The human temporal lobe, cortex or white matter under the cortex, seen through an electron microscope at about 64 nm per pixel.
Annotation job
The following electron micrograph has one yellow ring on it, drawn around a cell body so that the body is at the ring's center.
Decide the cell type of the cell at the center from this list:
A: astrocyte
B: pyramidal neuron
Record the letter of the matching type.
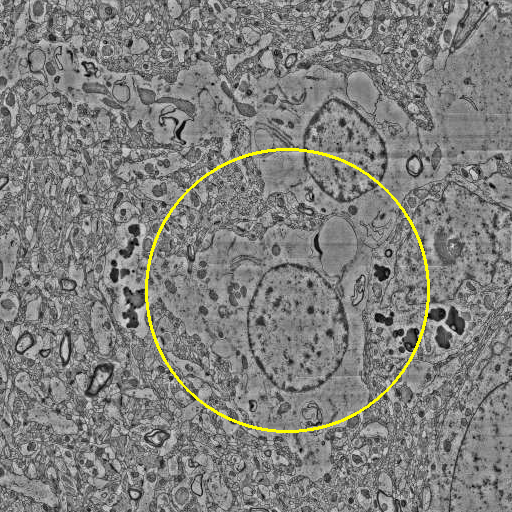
A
